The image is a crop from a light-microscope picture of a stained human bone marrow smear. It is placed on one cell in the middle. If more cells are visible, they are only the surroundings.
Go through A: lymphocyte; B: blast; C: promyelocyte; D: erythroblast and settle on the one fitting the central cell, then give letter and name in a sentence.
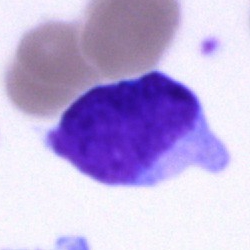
Of the choices given, option B is right, as the central cell is a blast.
